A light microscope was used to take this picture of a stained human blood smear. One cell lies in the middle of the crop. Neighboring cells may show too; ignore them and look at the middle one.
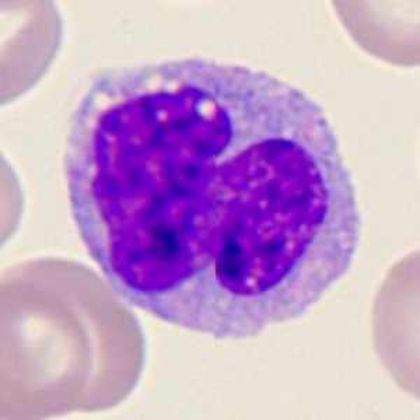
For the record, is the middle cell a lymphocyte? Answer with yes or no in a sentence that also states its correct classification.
No, rather than a lymphocyte, the central cell is a monocyte.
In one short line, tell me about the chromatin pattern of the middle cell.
The chromatin pattern is fine and free of coarse clumps.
